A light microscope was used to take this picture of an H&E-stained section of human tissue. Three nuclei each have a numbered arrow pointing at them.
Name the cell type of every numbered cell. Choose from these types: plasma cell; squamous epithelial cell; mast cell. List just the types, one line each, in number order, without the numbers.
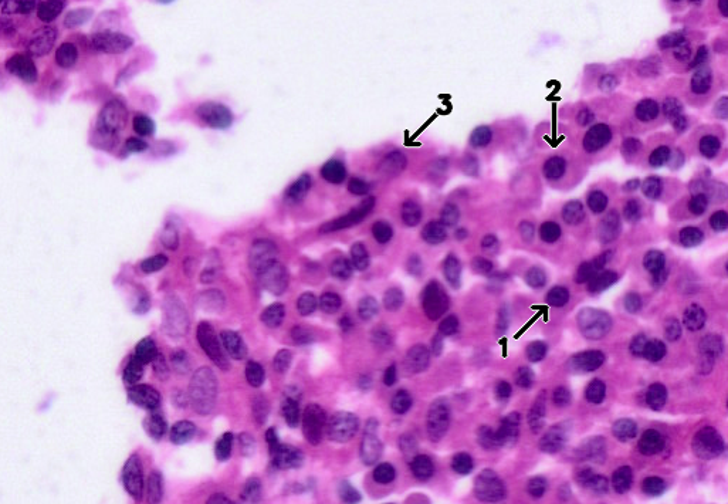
plasma cell
plasma cell
squamous epithelial cell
